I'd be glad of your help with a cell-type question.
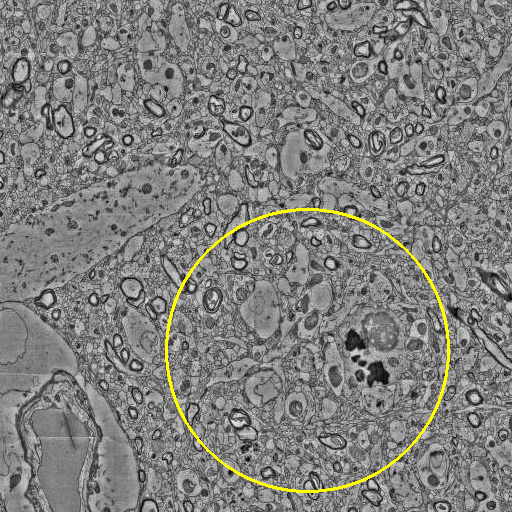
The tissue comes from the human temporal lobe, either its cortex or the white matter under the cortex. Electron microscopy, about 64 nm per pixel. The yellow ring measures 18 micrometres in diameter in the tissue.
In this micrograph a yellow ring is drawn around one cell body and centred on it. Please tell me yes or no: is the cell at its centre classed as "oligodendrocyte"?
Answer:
yes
